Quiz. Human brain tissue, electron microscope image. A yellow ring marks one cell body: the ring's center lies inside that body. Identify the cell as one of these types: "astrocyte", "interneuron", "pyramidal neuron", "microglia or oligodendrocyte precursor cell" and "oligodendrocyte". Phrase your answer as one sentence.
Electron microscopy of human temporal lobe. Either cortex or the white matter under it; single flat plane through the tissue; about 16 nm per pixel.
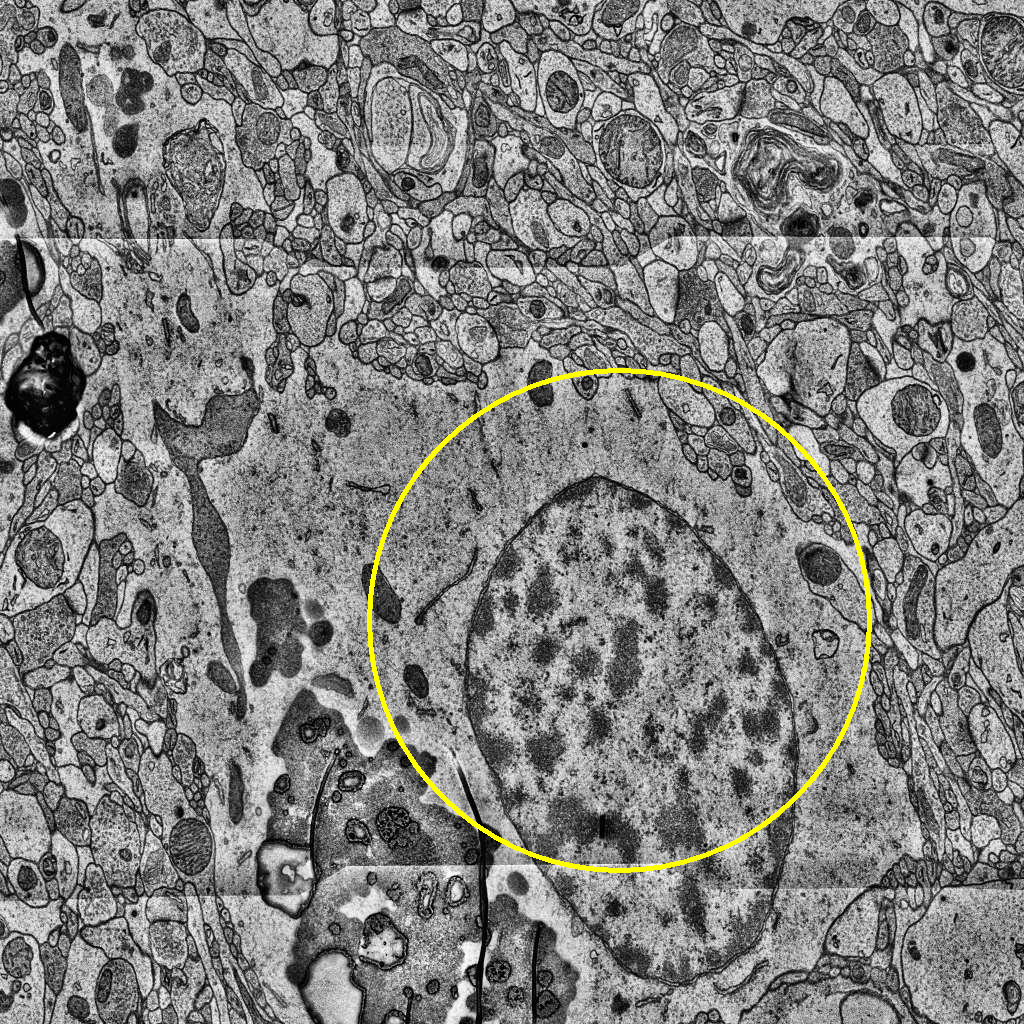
At the center of the ring sits an astrocyte.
